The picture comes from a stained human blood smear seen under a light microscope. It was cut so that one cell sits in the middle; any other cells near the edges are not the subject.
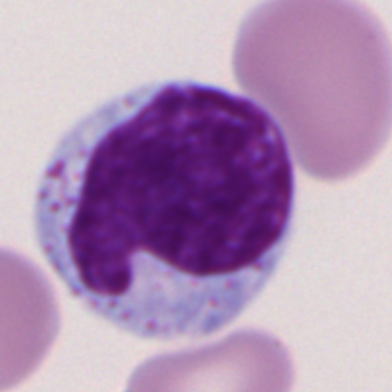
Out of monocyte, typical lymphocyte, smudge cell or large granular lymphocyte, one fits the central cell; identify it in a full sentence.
In the centre of this crop there is a large granular lymphocyte.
